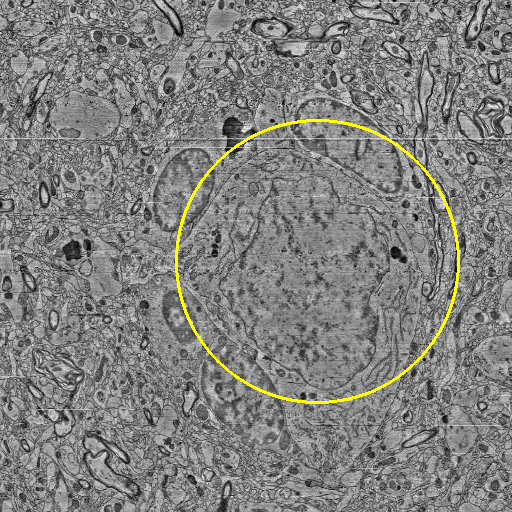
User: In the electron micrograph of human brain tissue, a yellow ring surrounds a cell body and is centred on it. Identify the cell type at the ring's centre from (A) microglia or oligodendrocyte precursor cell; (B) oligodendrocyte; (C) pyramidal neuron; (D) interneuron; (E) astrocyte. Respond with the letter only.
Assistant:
D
